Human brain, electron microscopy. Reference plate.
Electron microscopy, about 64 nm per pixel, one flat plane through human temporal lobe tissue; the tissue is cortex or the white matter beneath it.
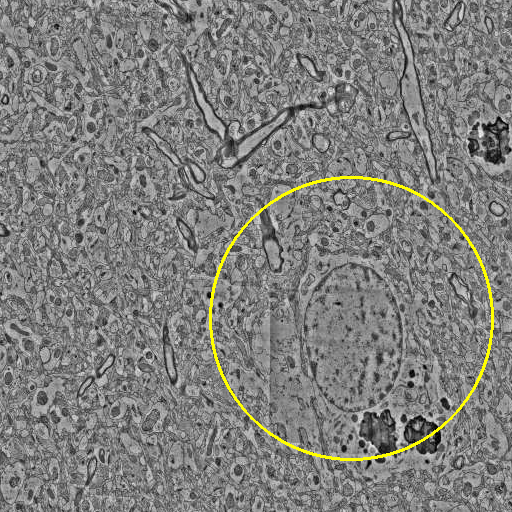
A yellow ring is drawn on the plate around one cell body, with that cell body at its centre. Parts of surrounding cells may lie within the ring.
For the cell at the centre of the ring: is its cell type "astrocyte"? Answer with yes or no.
Yes, that is its cell type.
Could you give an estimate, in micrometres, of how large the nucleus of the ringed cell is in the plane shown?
Roughly 9 by 6 micrometres in this plane, for the nucleus of the ringed cell.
